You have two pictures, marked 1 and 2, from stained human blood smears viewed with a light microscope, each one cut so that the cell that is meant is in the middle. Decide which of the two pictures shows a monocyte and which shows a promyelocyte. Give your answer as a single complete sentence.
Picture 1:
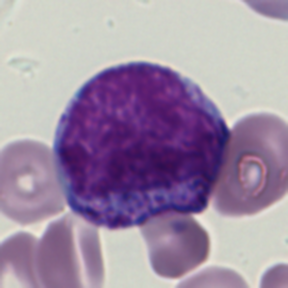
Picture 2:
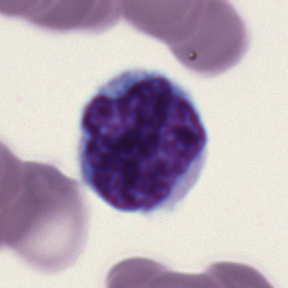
The cell in picture 1 is a promyelocyte, and the one in picture 2 is a monocyte.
